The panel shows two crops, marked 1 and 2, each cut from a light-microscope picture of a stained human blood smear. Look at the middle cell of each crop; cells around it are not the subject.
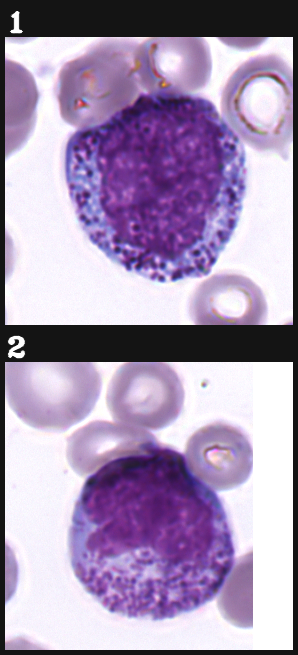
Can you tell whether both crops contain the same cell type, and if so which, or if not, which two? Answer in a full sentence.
No, a promyelocyte lies at the centre of crop 1, and a myelocyte lies at the centre of crop 2.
